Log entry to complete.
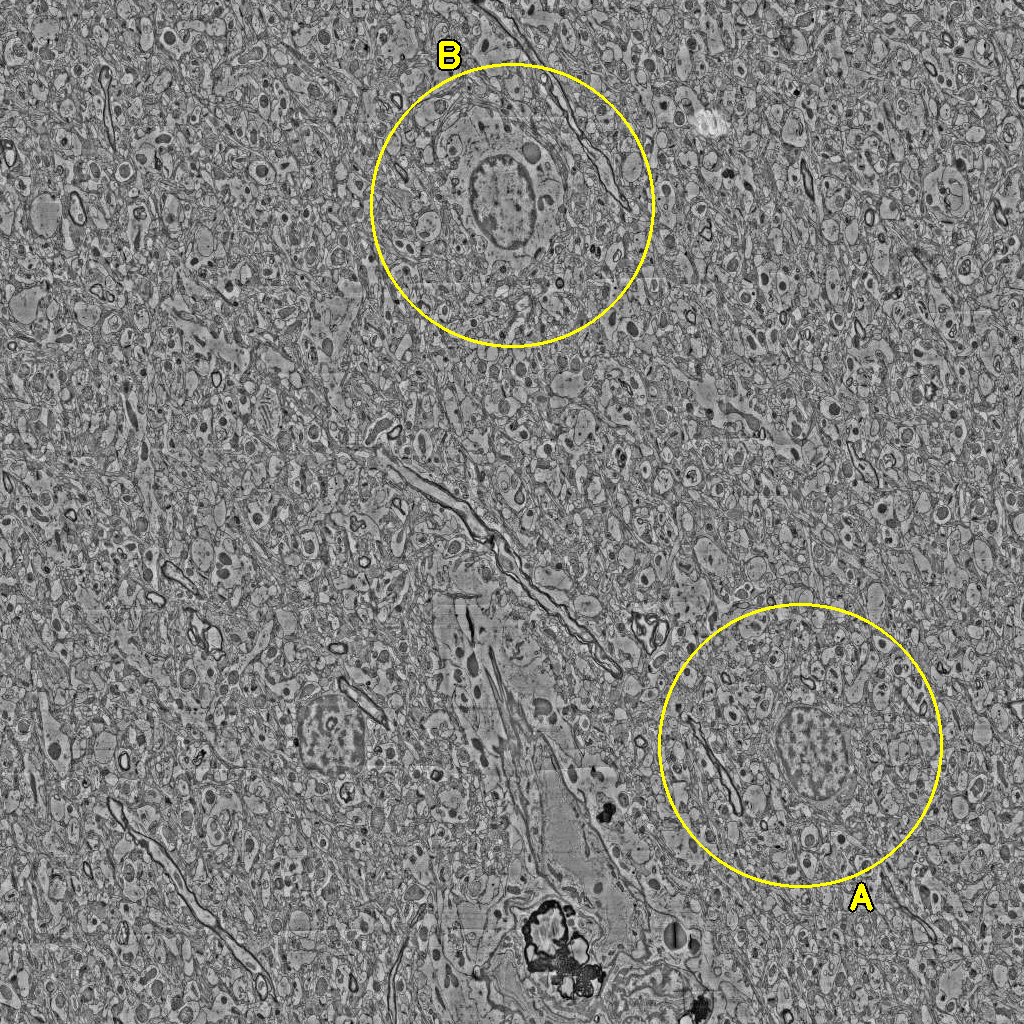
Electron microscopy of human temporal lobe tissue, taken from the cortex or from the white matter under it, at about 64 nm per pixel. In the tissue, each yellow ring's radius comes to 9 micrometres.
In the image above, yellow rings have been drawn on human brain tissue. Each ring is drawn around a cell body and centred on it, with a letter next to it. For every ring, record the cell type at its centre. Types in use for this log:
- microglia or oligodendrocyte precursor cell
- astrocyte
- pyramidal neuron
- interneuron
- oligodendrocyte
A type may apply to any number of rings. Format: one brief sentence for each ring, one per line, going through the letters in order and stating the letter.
In ring A, the centred cell is an oligodendrocyte.
In ring B, the centred cell is an astrocyte.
